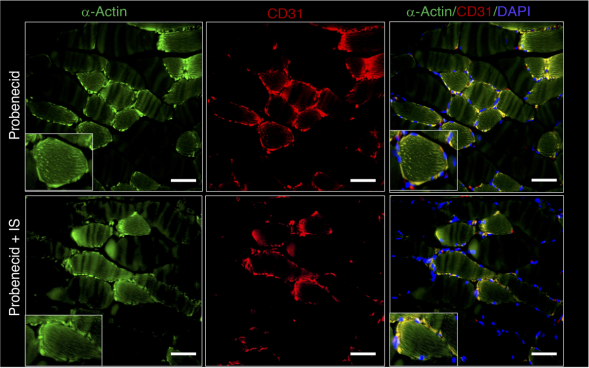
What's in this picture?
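Thin red capillaries run along the fibre borders, and small blue nuclei lie at the fibre edges and between fibres. The inset enlarges one myocyte with its surrounding capillaries.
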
